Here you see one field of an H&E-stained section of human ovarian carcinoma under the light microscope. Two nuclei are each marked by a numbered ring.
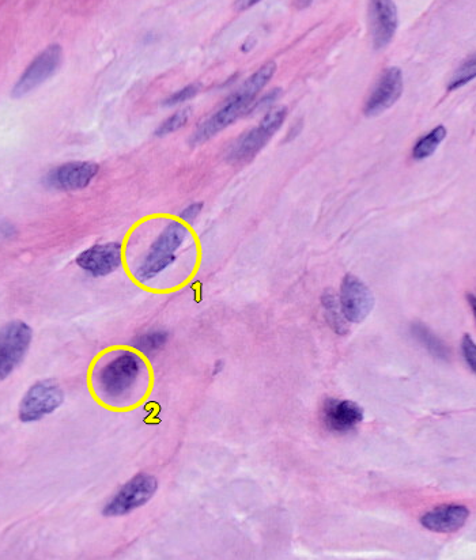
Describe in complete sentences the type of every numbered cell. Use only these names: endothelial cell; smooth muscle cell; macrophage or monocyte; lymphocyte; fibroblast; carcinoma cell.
Cell 1 is a smooth muscle cell. Cell 2 is an endothelial cell.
